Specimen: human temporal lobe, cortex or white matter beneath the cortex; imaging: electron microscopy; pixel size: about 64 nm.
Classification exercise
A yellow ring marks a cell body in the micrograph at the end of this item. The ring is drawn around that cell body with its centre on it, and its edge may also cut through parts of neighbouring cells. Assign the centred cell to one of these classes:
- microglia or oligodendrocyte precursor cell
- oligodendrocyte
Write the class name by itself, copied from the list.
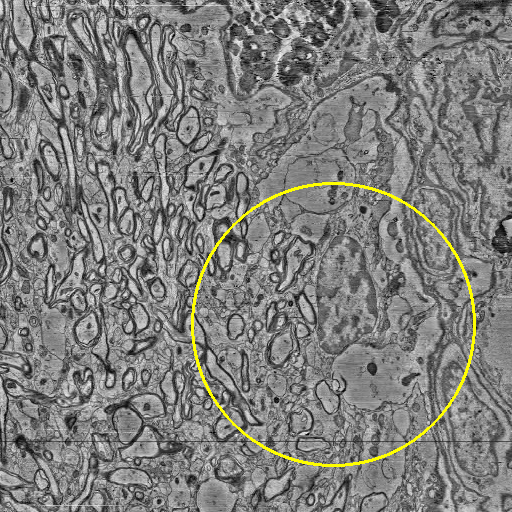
microglia or oligodendrocyte precursor cell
